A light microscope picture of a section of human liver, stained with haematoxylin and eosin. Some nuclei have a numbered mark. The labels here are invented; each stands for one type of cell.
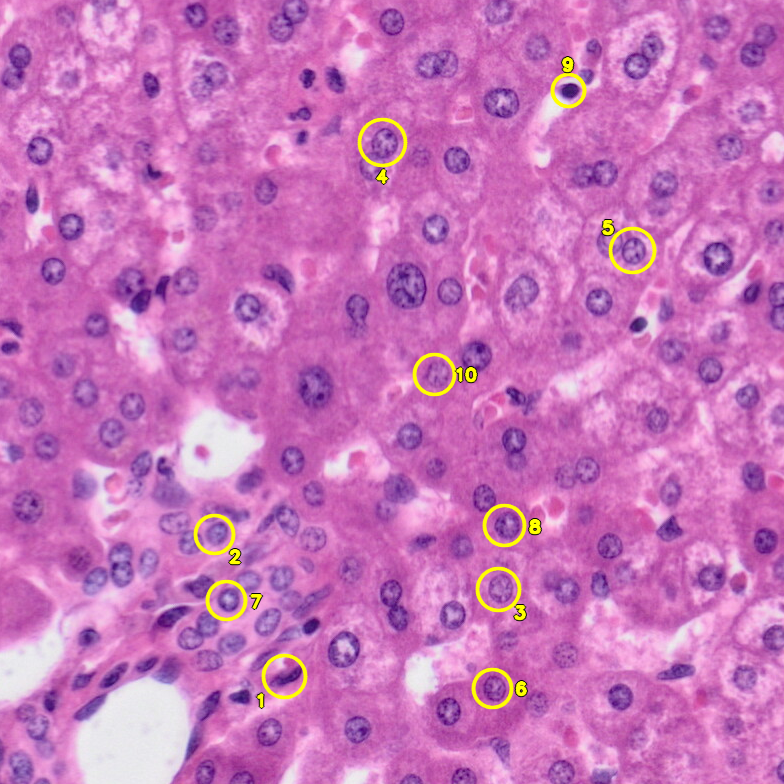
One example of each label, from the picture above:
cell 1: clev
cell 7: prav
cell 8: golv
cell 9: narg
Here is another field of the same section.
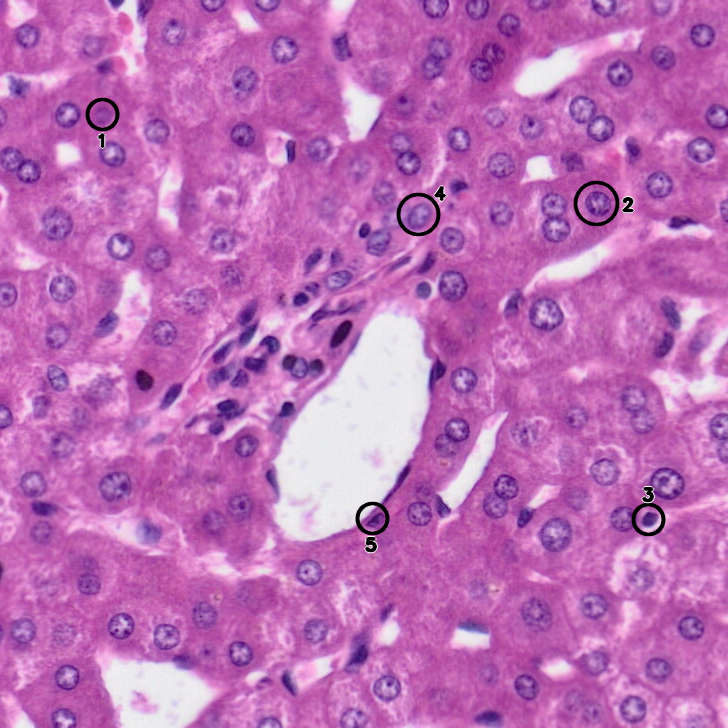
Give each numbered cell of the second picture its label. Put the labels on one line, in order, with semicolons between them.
golv; golv; narg; prav; clev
